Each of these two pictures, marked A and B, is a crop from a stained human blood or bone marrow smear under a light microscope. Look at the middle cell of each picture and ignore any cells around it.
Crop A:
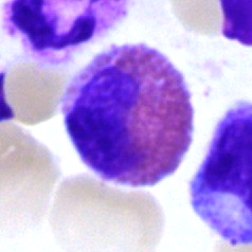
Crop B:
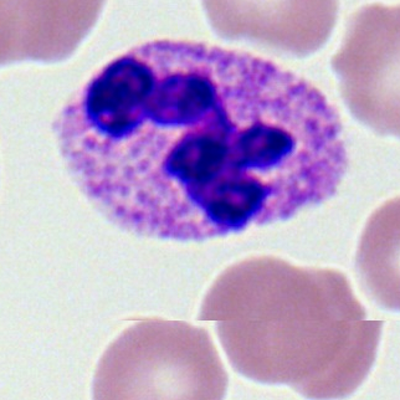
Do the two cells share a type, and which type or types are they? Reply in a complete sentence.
No, look again: crop A shows an eosinophil, and crop B shows a neutrophil.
